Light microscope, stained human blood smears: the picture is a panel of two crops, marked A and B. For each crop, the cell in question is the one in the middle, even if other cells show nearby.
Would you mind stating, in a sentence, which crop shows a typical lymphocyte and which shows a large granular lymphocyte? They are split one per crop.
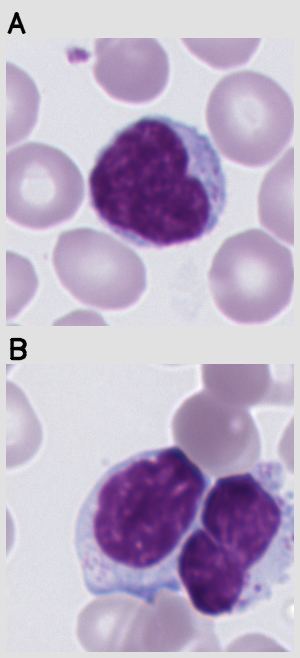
What crop A shows is a typical lymphocyte, and what crop B shows is a large granular lymphocyte.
